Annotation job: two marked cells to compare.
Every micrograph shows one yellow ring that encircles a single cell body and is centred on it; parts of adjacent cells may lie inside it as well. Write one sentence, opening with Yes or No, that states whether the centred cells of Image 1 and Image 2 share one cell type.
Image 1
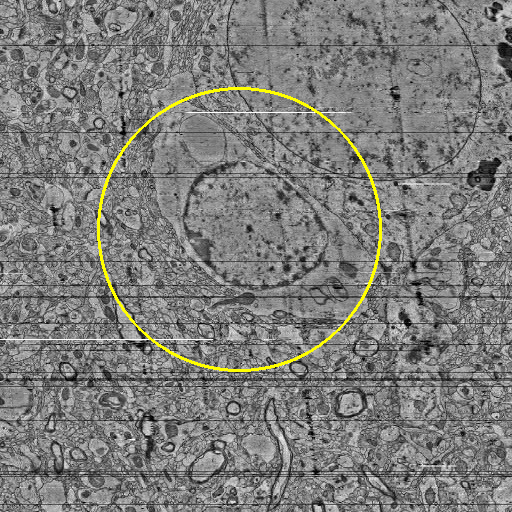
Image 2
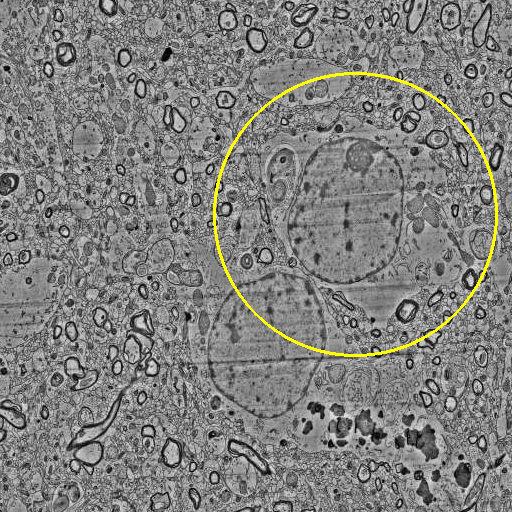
Yes, the cell centred in Image 1 shares its type with the cell centred in Image 2.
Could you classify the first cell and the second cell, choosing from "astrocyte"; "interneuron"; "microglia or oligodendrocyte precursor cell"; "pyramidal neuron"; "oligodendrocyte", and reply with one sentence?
Both cells are the same kind, each one being an astrocyte.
